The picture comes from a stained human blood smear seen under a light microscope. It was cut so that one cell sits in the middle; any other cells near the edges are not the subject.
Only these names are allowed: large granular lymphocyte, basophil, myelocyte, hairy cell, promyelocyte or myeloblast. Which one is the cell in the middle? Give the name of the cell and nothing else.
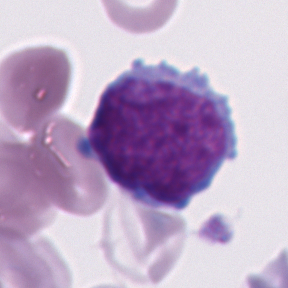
myeloblast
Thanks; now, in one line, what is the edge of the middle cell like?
The border of the cell is irregular, being either ragged or extended into projections.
